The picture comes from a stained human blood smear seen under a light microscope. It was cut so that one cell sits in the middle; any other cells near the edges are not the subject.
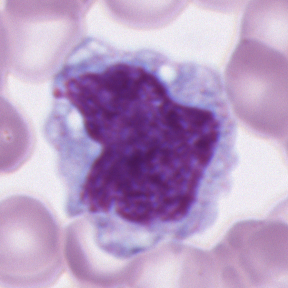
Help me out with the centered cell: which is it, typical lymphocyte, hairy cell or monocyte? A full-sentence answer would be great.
Framed in the middle of the crop is a monocyte.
